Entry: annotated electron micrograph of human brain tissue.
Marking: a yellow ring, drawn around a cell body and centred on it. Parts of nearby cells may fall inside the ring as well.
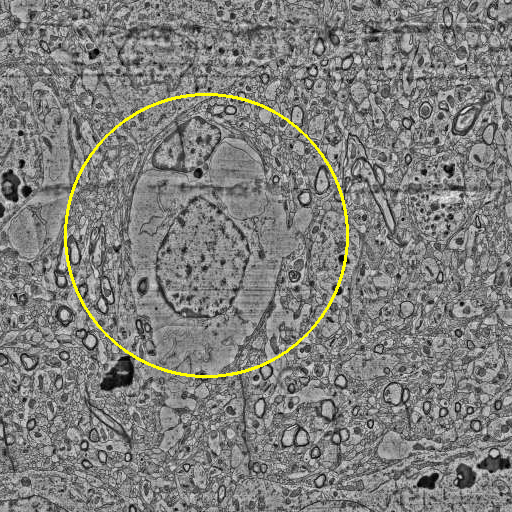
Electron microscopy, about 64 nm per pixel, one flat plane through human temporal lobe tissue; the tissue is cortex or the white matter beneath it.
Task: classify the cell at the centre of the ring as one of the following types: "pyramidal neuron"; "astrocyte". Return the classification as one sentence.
The marked cell is classified as an astrocyte.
